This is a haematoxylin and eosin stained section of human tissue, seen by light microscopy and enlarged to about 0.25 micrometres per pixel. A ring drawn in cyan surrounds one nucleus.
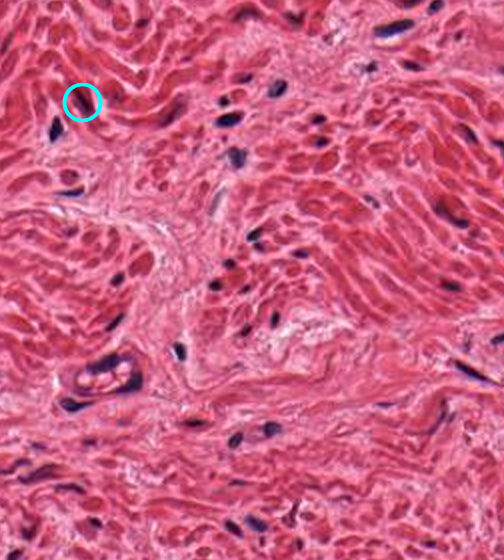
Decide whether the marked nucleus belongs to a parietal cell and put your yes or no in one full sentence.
No, the nucleus singled out in the image is not that of a parietal cell.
